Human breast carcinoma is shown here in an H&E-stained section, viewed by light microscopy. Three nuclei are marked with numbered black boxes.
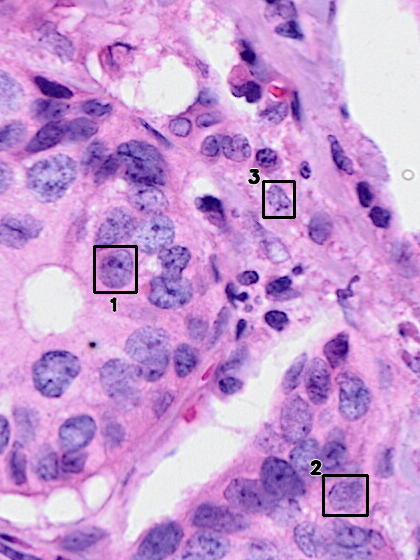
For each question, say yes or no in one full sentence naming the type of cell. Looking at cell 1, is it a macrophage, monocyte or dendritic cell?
No; cell 1 is a carcinoma cell, not a macrophage, monocyte or dendritic cell.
